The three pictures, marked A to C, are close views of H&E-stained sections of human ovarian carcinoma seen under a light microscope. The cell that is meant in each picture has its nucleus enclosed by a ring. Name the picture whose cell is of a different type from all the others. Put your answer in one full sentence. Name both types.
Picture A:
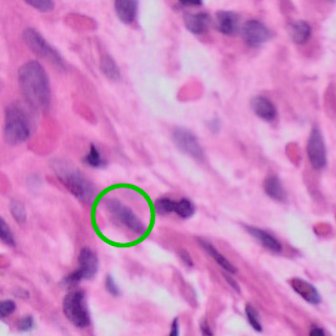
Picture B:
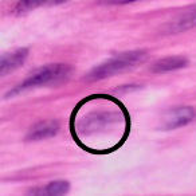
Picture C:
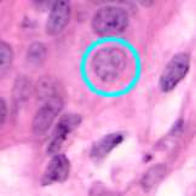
All pictures except C show fibroblasts; picture C shows a carcinoma cell.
